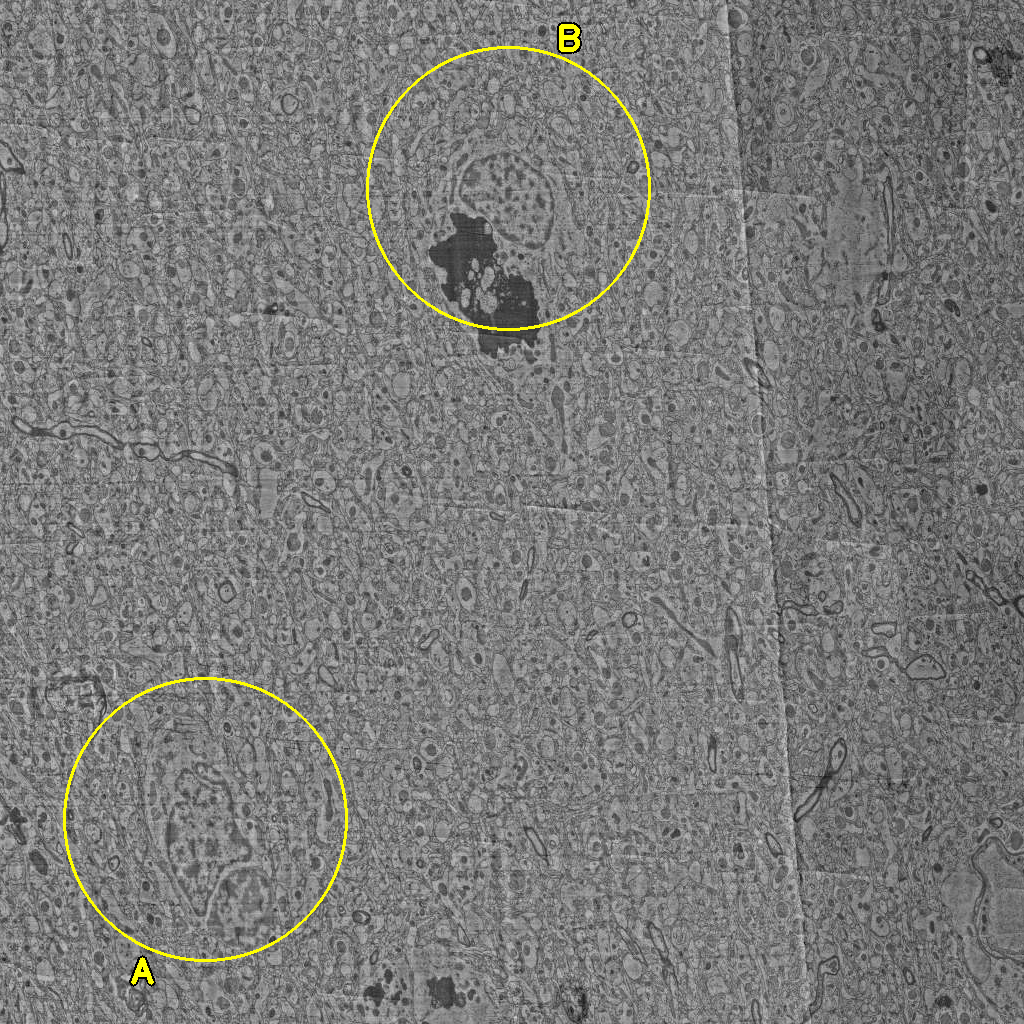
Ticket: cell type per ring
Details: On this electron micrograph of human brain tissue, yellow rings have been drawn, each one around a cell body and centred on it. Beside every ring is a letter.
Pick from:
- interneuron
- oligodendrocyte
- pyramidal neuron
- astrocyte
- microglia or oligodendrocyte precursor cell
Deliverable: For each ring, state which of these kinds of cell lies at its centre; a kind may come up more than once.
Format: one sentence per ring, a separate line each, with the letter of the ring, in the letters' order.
The cell body ringed as A belongs to a microglial cell or oligodendrocyte precursor cell.
The cell body ringed as B belongs to an astrocyte.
